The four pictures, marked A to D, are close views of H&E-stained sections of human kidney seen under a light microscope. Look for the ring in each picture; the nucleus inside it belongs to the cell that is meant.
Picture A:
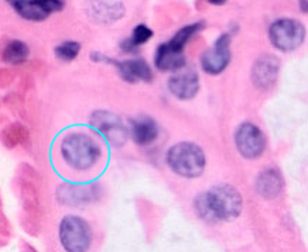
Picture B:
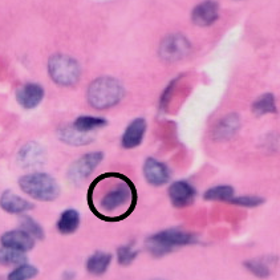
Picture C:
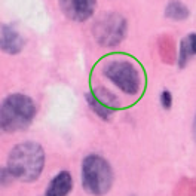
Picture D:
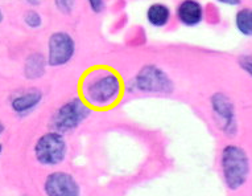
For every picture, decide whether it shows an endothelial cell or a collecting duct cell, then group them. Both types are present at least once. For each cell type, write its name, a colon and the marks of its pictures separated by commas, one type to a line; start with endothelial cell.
endothelial cell: B
collecting duct cell: A, C, D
